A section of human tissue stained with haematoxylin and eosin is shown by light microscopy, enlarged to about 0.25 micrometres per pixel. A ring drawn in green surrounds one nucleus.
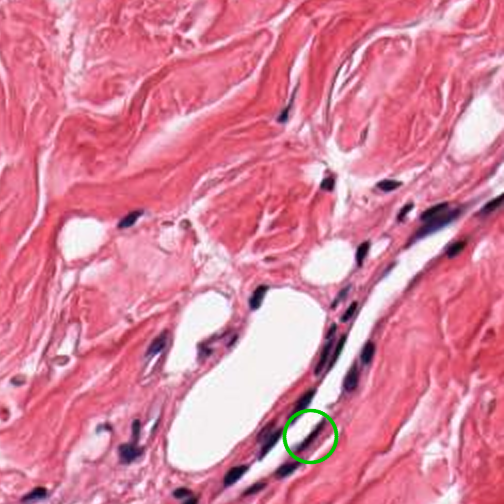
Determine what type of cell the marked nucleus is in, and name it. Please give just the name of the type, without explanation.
endothelial cell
